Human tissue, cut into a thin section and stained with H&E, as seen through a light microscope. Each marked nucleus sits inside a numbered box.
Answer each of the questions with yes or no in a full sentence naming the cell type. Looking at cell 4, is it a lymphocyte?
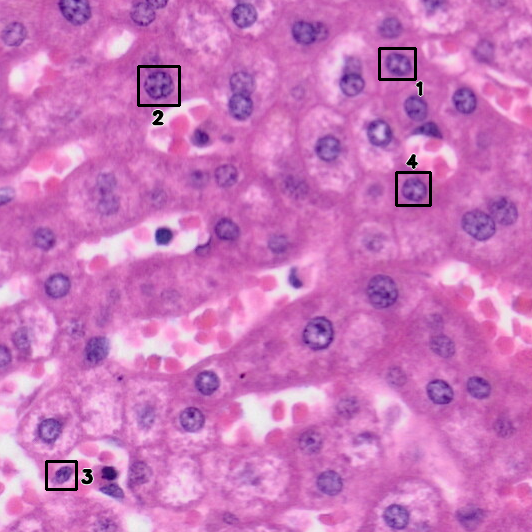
No, at number 4 sits a hepatocyte, not a lymphocyte.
